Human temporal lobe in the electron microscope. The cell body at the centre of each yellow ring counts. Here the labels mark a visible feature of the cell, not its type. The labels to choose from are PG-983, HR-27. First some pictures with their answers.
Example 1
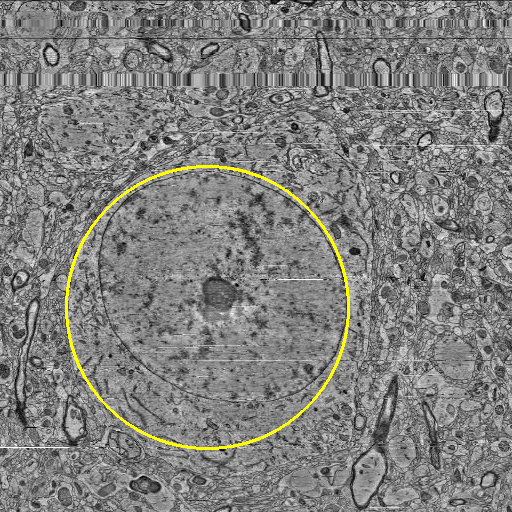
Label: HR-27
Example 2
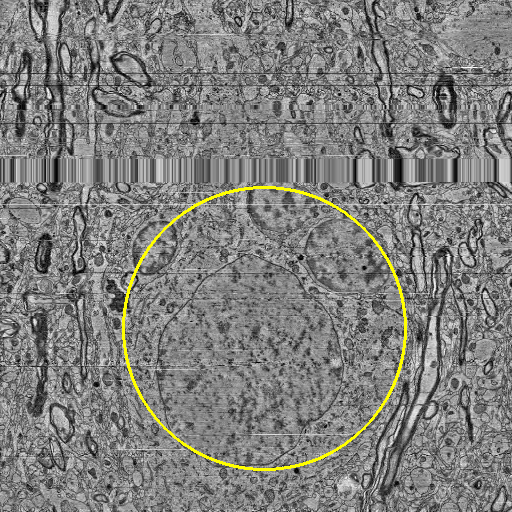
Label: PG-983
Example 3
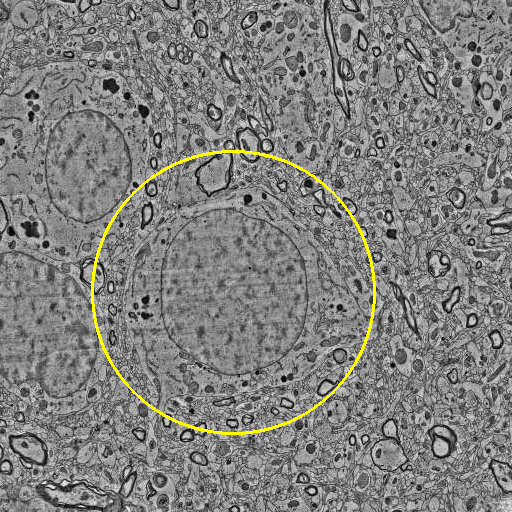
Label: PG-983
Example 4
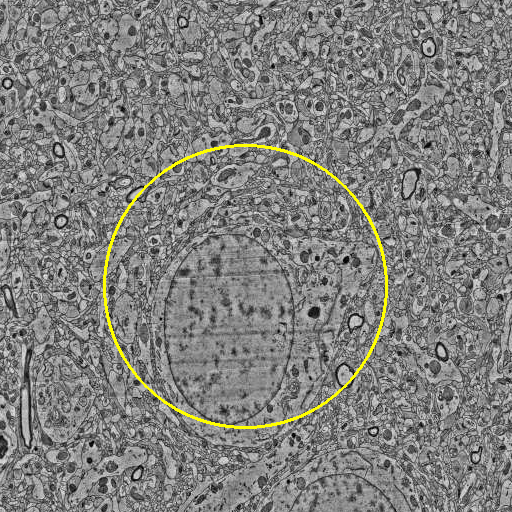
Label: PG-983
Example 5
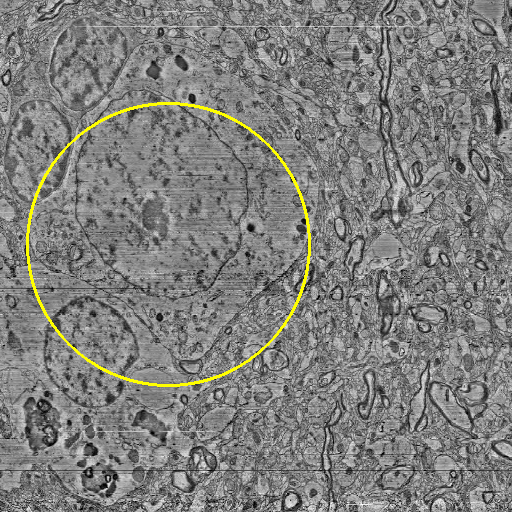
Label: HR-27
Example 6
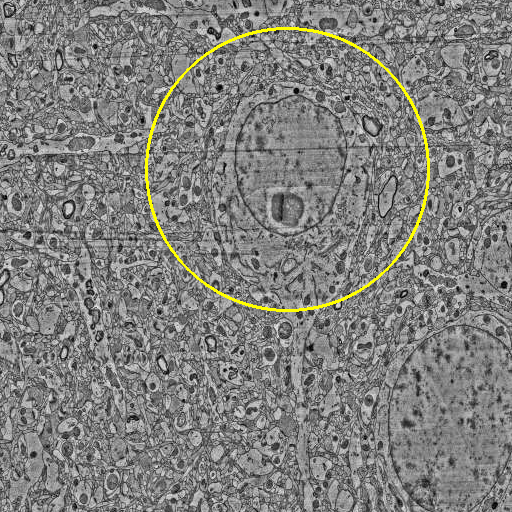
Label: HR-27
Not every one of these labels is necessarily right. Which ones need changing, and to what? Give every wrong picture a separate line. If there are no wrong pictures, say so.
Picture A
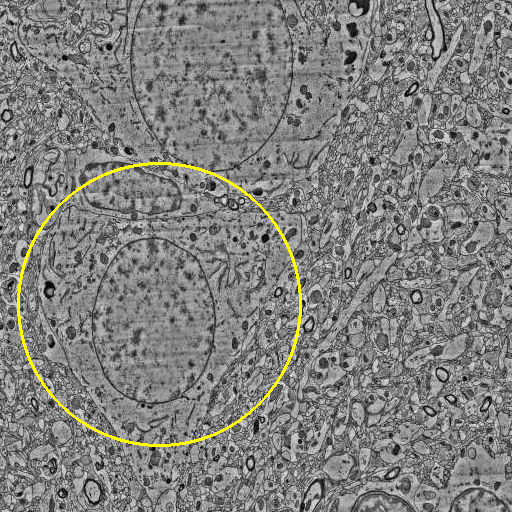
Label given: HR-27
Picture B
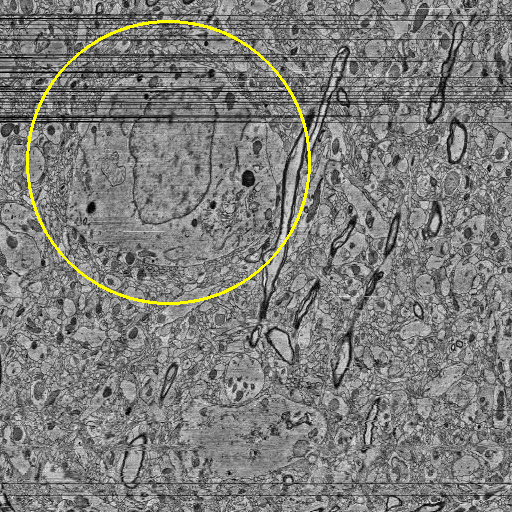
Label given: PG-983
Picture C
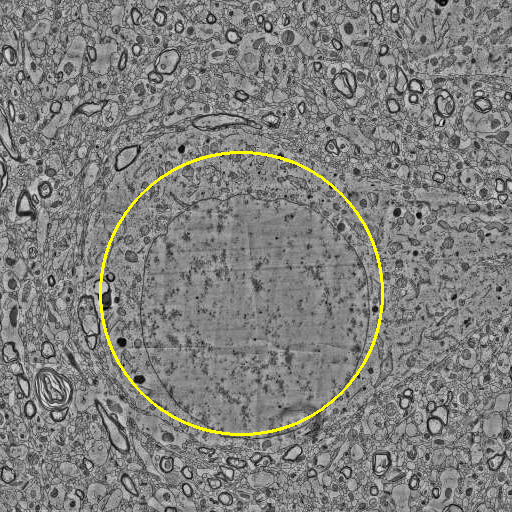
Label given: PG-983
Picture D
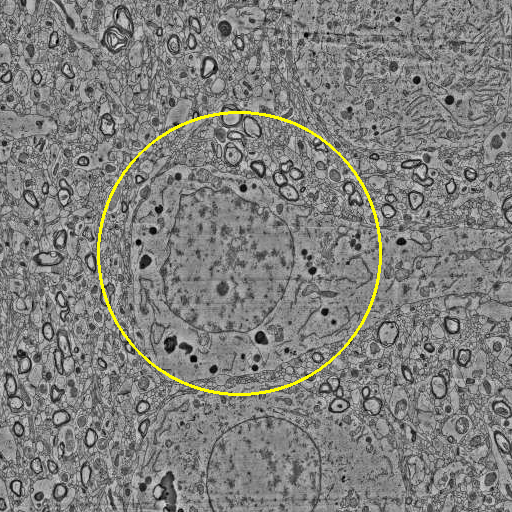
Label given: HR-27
A: change HR-27 to PG-983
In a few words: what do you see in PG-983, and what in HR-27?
Seen in PG-983: no nucleolus seen; seen in HR-27: nucleolus seen.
